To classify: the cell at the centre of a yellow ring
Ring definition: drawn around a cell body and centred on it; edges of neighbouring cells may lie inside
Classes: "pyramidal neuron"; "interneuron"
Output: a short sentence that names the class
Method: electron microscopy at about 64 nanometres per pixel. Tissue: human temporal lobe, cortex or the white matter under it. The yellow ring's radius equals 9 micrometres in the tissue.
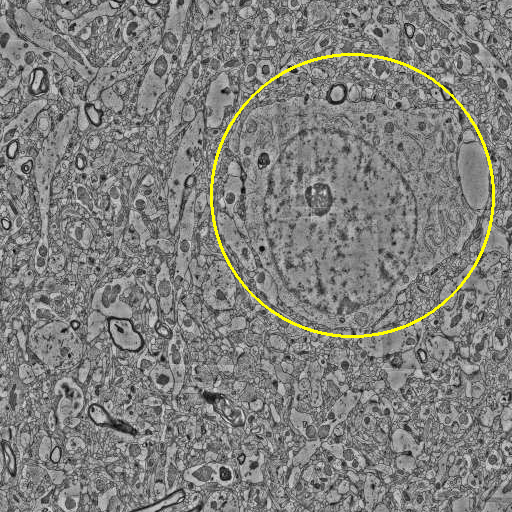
The ringed cell is an interneuron.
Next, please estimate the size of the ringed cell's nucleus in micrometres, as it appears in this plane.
About 12 by 10 micrometres in this plane.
